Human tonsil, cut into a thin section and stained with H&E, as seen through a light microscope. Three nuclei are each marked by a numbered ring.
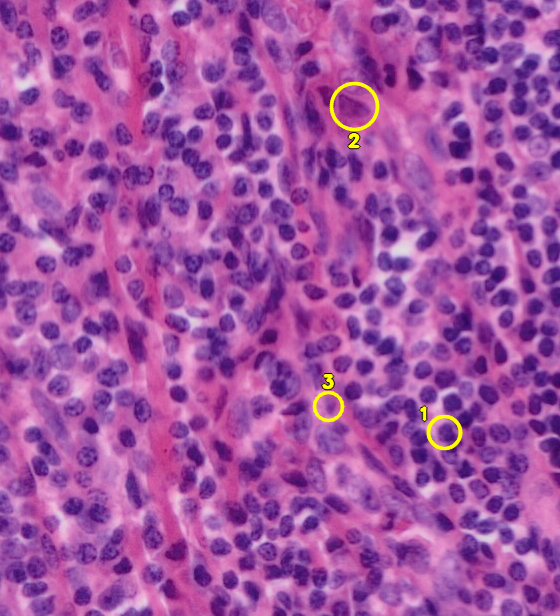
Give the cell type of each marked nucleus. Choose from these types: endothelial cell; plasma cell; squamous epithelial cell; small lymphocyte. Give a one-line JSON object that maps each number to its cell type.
{"1": "small lymphocyte", "2": "endothelial cell", "3": "endothelial cell"}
